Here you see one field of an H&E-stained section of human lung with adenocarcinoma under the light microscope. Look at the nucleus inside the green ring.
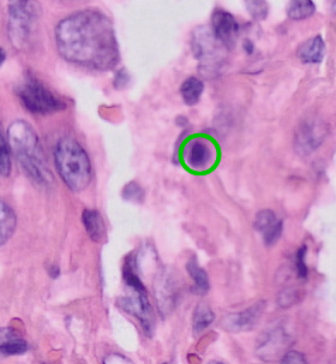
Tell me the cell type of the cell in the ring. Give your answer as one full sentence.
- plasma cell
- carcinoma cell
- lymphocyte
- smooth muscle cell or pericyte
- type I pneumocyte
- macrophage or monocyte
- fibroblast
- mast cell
The identity of the cell in the ring is that of a plasma cell.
